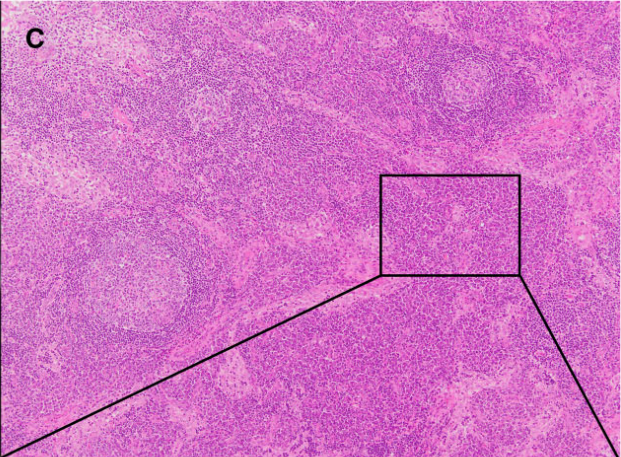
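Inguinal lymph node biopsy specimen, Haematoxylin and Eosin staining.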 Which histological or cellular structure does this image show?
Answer: Preserved follicular structure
